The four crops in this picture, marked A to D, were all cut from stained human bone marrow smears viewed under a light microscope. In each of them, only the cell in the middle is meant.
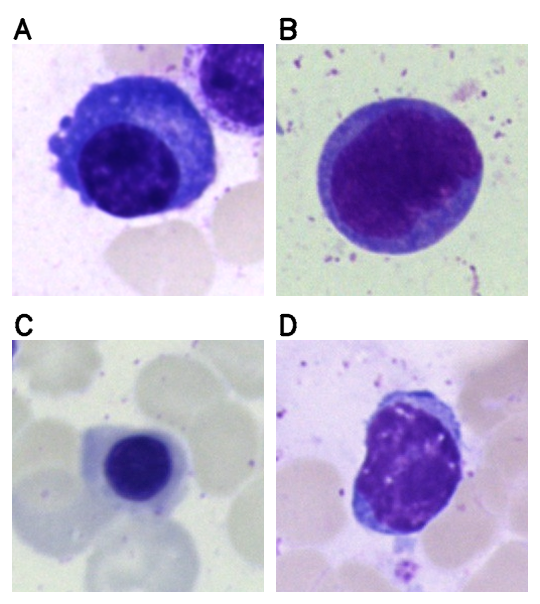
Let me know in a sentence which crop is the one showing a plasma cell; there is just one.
Of the labelled crops, the one that shows a plasma cell is crop A.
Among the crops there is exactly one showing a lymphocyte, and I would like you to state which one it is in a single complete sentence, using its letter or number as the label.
Among all the crops given here, the one with a lymphocyte is crop D.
